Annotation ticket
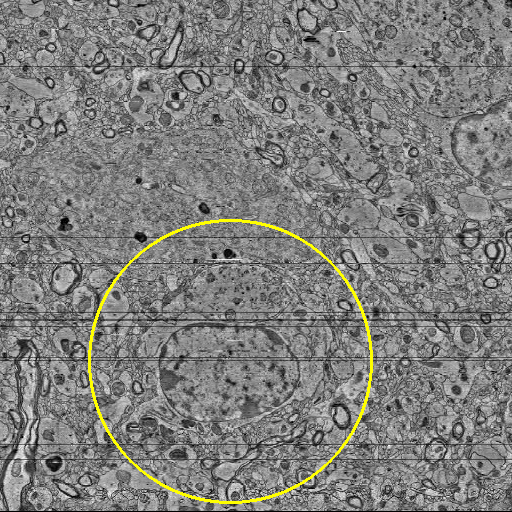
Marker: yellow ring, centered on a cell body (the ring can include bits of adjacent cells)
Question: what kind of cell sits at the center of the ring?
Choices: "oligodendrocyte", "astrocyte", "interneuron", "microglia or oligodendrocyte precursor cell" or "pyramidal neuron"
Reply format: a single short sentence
The ring is centered on a microglial cell or oligodendrocyte precursor cell.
